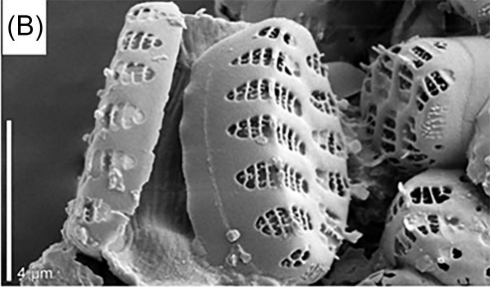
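This is a scanning electron view of the silica walls of small diatoms. To the left a narrower frustule is seen from the side, with a row of openings along its mantle. Further valves of neighbouring cells crowd the right edge, showing the same perforated pattern. The walls look rigid and smooth between the openings, with small debris on their surface.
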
